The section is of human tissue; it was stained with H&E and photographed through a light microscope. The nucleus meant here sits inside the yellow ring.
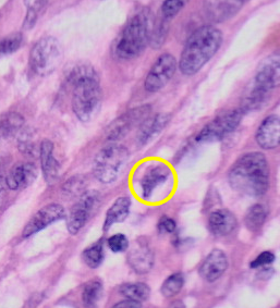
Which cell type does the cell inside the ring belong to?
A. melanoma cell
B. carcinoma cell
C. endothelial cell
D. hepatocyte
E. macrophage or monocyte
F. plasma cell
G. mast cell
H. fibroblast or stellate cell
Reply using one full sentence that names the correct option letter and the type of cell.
Option A describes the cell inside the ring accurately as a melanoma cell.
